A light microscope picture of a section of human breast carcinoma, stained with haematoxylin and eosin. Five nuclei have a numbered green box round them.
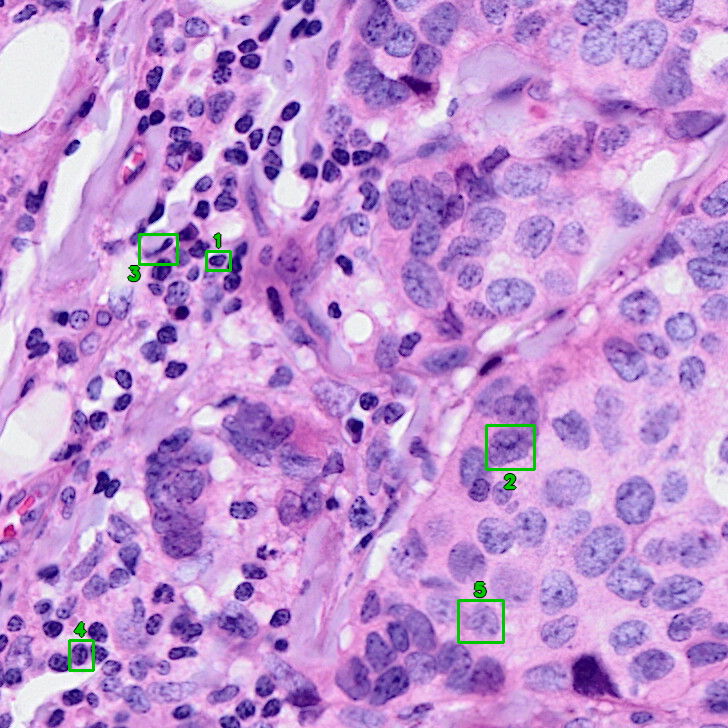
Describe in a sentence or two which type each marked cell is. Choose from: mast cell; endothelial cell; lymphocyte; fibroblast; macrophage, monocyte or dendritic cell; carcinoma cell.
Cells 1, 3 and 4 are lymphocytes. Cells 2 and 5 are carcinoma cells.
